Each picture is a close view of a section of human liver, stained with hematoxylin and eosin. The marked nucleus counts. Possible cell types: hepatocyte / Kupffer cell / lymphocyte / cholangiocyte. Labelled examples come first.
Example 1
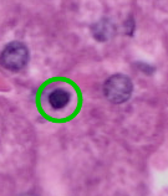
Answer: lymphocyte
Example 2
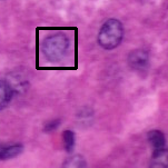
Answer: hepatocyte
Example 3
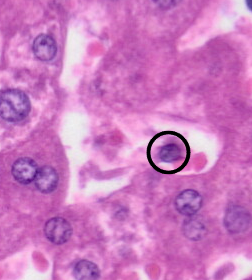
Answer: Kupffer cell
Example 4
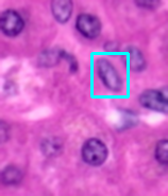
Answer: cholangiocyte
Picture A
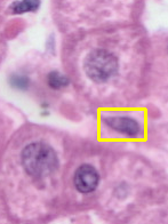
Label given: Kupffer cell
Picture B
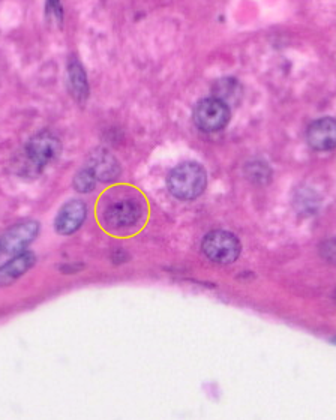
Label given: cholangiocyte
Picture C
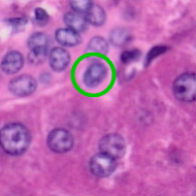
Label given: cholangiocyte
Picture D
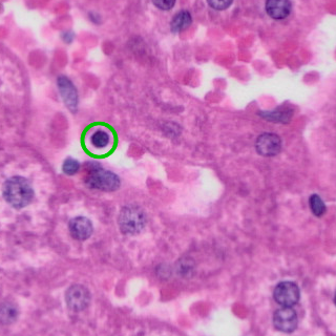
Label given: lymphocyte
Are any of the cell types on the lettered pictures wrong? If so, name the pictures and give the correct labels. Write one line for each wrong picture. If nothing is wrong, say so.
All labels are correct.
